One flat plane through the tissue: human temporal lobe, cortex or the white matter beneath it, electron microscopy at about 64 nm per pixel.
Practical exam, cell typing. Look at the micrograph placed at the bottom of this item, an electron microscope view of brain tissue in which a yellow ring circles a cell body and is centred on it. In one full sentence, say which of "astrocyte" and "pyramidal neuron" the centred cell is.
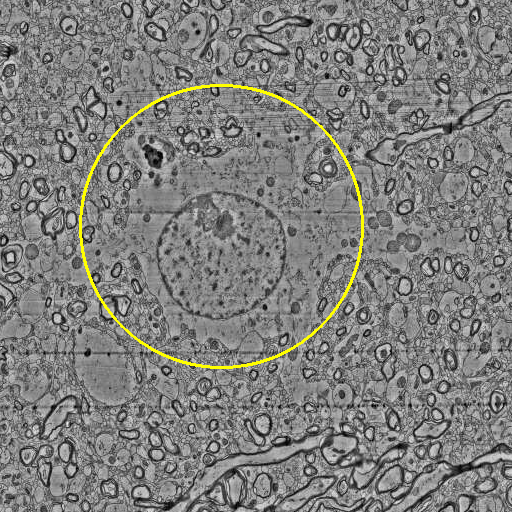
Given the options, an astrocyte fits the cell whose body the yellow ring is centred on.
